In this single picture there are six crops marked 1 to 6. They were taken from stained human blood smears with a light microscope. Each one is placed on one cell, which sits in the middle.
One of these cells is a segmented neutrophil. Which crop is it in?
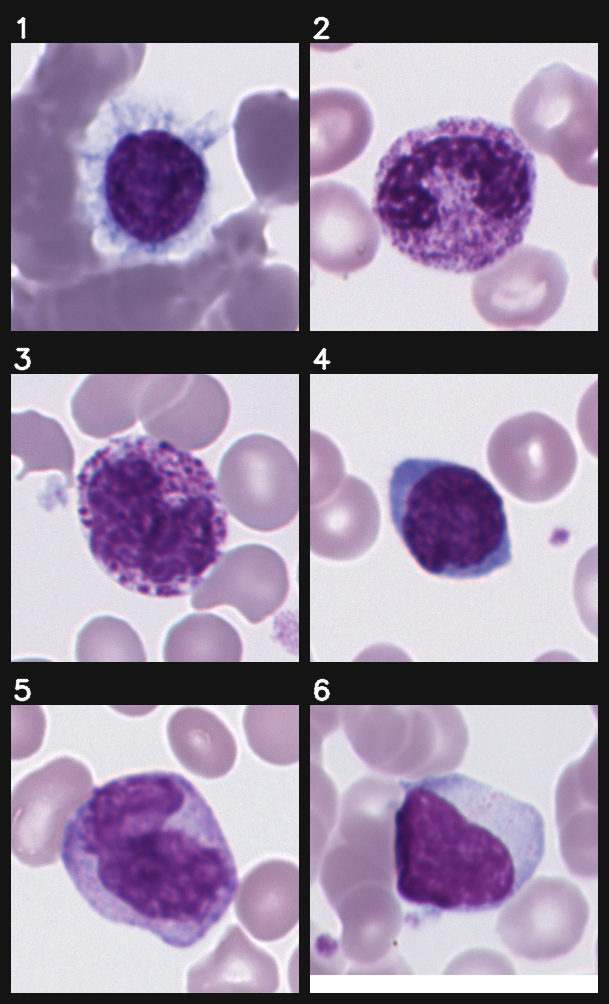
2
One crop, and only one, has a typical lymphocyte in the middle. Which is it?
4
